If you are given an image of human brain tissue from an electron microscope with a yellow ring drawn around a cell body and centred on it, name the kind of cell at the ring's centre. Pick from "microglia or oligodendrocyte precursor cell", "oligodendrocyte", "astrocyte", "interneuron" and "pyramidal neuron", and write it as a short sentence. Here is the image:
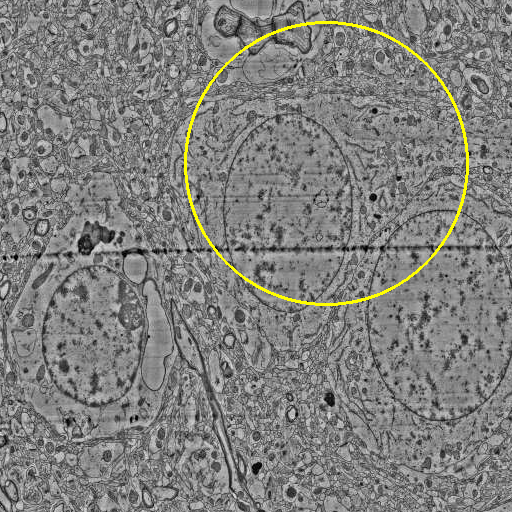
The cell at the ring's centre is a pyramidal neuron.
